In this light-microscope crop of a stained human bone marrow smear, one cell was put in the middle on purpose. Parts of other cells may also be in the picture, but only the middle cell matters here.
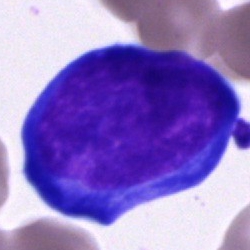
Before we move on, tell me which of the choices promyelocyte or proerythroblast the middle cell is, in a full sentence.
Framed in the middle of the crop is a proerythroblast.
